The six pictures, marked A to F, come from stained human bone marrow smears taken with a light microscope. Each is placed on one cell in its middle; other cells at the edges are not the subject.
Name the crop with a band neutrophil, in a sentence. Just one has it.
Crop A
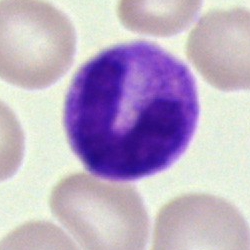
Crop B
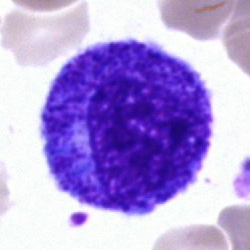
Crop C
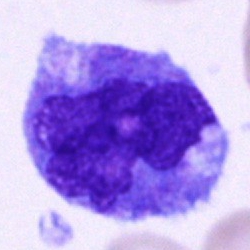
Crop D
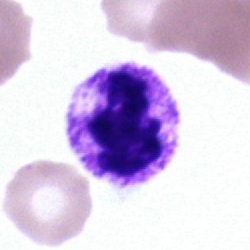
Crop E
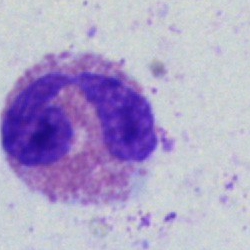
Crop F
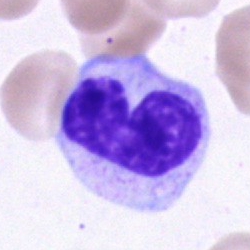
Crop A is the single crop that shows a band neutrophil.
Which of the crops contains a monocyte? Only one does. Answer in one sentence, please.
Of the crops given, a monocyte is found in crop C.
